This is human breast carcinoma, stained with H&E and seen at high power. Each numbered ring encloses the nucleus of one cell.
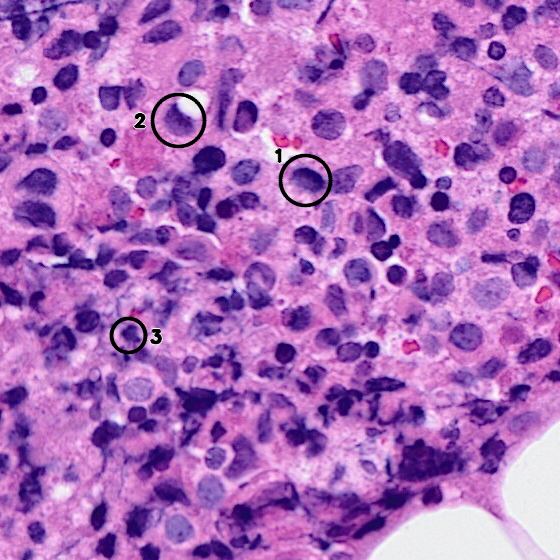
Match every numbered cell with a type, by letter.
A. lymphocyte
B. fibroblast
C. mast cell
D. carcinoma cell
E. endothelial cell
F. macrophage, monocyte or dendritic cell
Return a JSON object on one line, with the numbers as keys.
{"1": "D", "2": "D", "3": "A"}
